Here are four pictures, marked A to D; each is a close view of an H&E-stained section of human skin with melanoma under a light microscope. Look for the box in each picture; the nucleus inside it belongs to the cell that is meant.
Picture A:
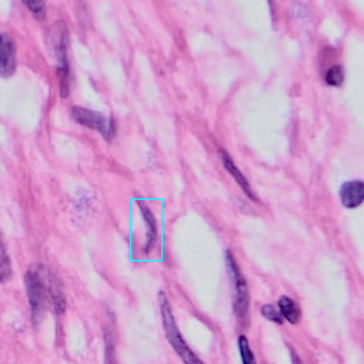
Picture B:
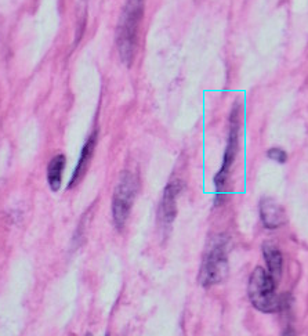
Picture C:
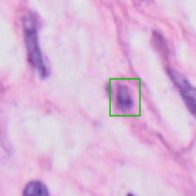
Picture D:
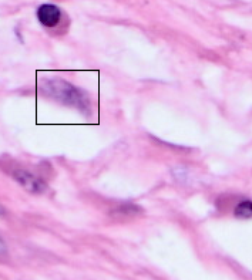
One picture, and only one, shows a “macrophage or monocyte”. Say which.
C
